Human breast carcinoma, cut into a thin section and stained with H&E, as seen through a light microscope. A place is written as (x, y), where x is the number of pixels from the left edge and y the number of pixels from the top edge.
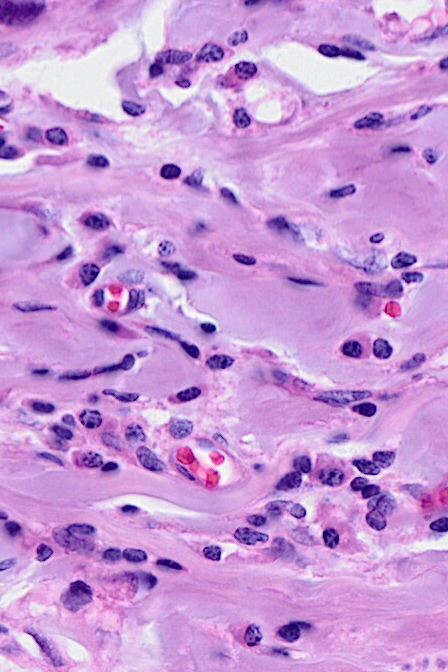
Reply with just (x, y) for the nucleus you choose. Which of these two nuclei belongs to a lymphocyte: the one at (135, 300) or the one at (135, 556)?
(135, 556)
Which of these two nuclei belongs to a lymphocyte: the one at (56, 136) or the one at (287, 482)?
(287, 482)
